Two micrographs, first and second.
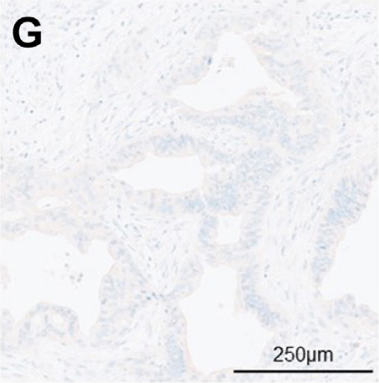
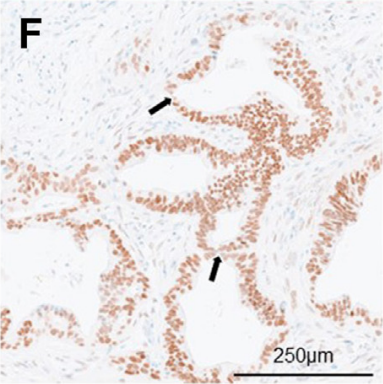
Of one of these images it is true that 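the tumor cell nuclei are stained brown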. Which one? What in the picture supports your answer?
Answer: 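First image: the gland-lining cells show only blue counterstain, no brown. Second image: the nuclei of the gland-lining cells are stained brown. The answer: the second image.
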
